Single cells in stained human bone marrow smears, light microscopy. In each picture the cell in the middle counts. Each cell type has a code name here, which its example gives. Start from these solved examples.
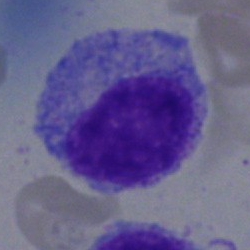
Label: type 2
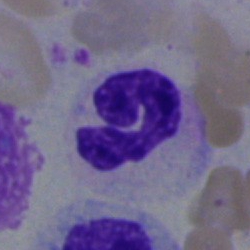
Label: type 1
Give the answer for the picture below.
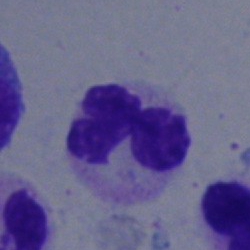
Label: type 1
